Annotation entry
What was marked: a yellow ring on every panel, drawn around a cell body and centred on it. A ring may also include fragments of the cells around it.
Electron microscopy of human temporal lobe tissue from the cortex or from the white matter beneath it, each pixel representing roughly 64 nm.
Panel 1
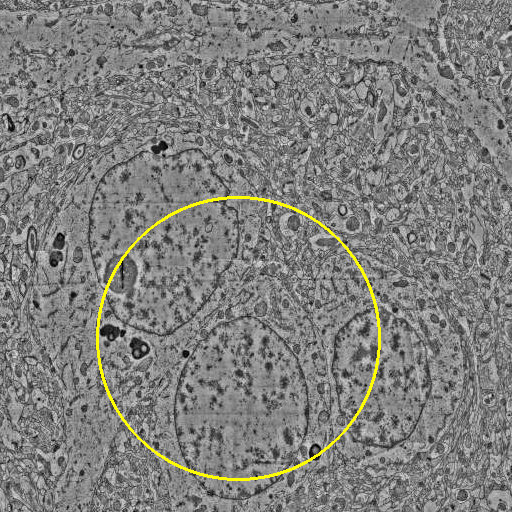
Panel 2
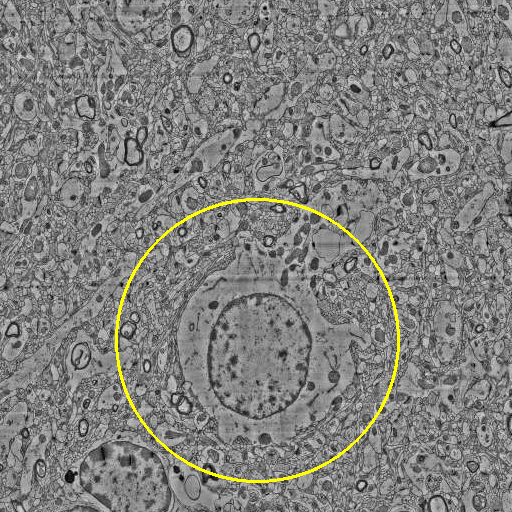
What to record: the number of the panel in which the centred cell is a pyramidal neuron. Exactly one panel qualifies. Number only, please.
1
